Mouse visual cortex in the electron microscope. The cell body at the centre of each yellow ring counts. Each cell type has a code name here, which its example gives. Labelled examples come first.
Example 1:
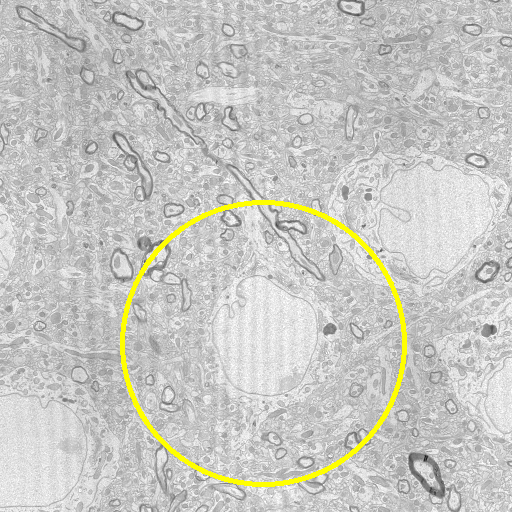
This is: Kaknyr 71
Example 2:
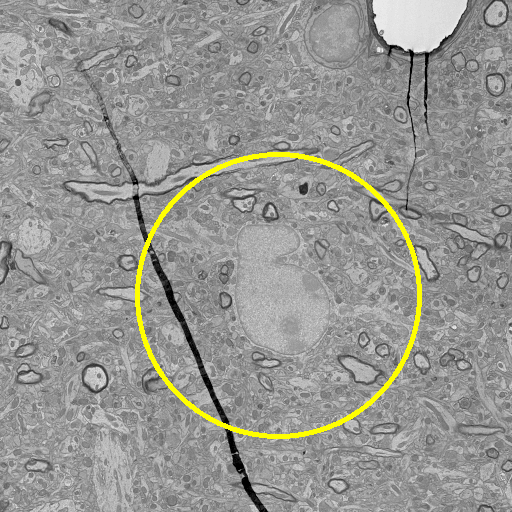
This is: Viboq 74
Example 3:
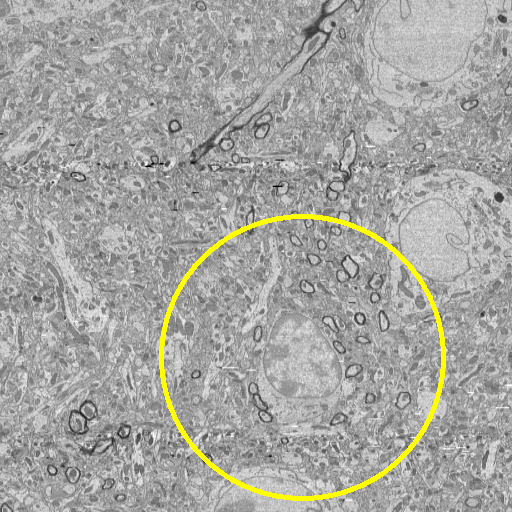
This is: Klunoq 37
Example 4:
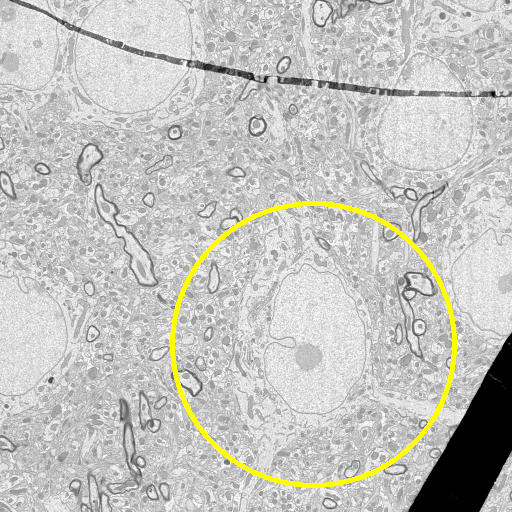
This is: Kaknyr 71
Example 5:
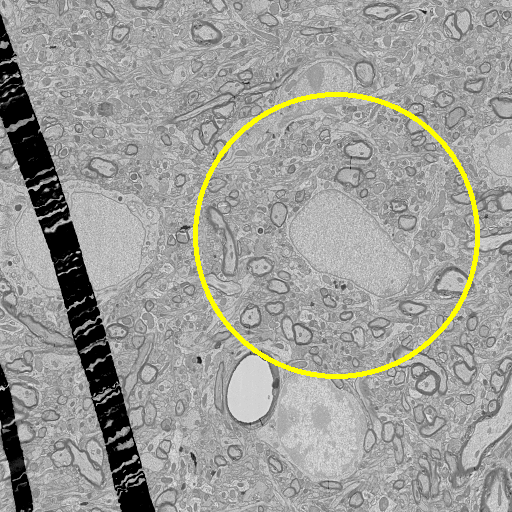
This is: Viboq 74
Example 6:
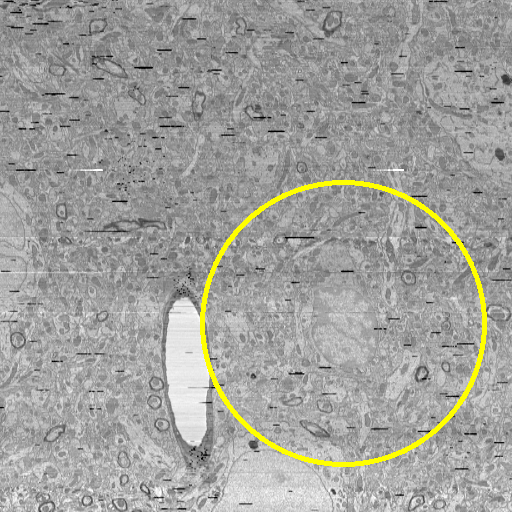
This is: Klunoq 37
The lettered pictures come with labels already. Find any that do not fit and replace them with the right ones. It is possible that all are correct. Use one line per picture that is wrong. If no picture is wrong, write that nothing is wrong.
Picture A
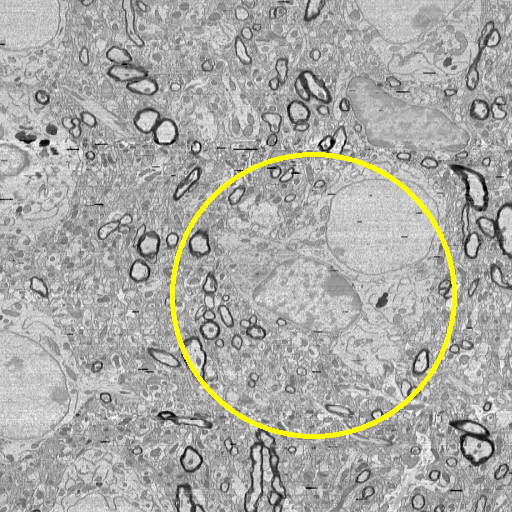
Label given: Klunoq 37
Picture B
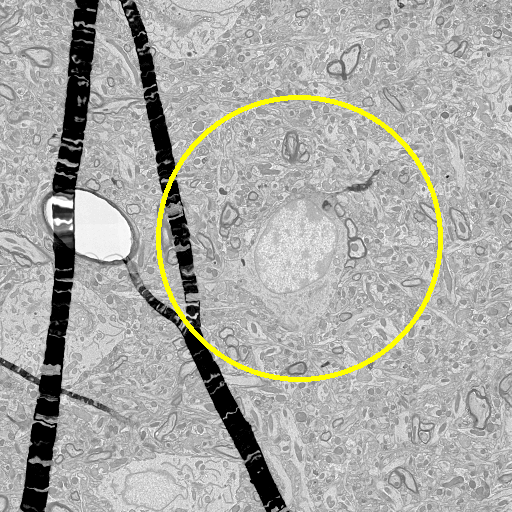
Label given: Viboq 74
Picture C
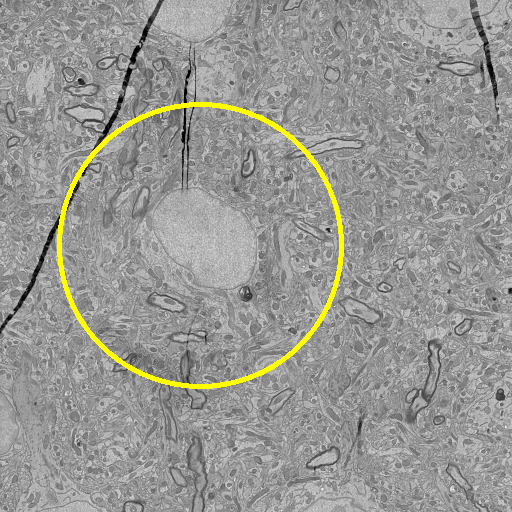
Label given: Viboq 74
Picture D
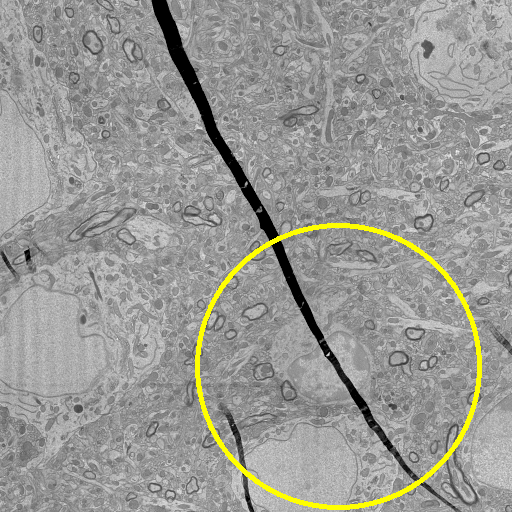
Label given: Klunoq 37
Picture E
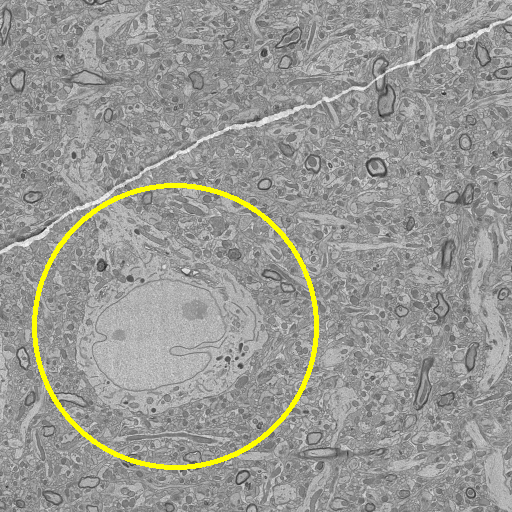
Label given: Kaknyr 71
B: change Viboq 74 to Klunoq 37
